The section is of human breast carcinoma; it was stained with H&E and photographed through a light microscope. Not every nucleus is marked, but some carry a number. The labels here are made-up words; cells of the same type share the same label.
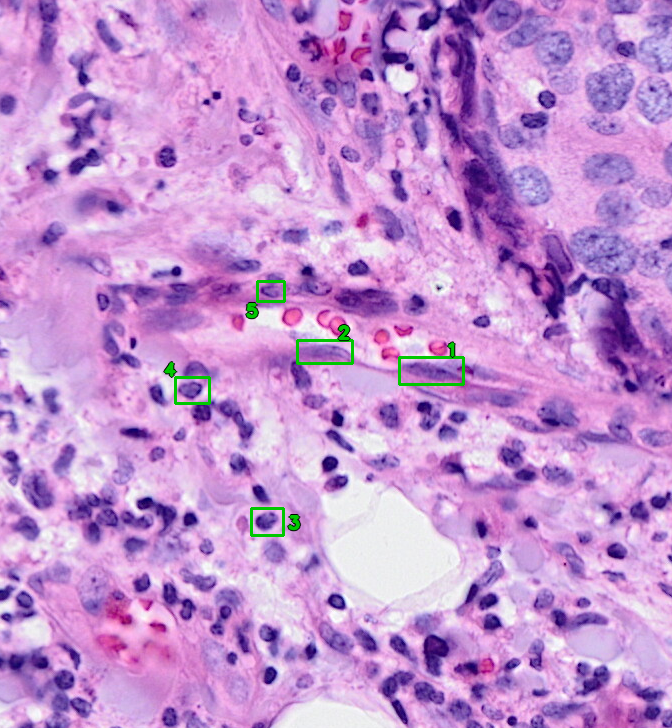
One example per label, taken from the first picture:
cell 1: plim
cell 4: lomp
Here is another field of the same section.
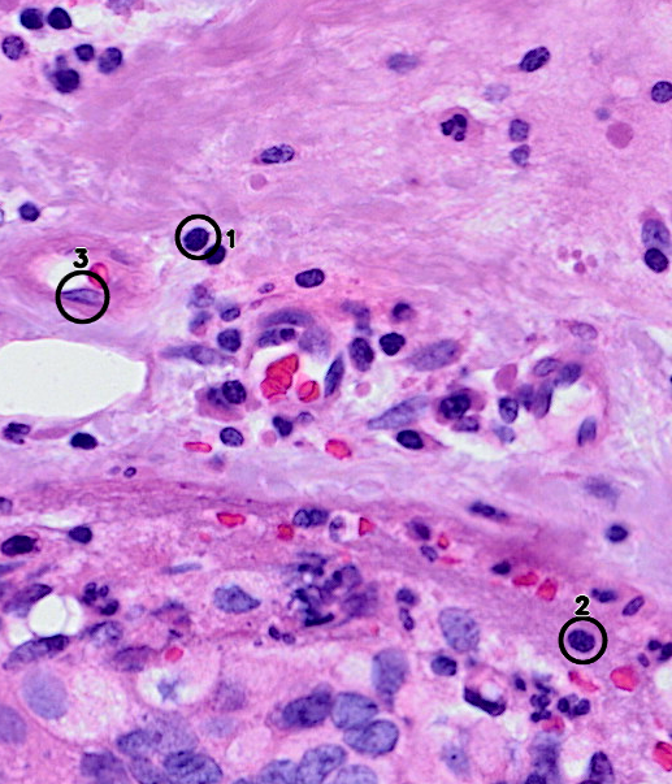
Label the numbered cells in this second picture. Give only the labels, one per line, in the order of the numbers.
lomp
lomp
plim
